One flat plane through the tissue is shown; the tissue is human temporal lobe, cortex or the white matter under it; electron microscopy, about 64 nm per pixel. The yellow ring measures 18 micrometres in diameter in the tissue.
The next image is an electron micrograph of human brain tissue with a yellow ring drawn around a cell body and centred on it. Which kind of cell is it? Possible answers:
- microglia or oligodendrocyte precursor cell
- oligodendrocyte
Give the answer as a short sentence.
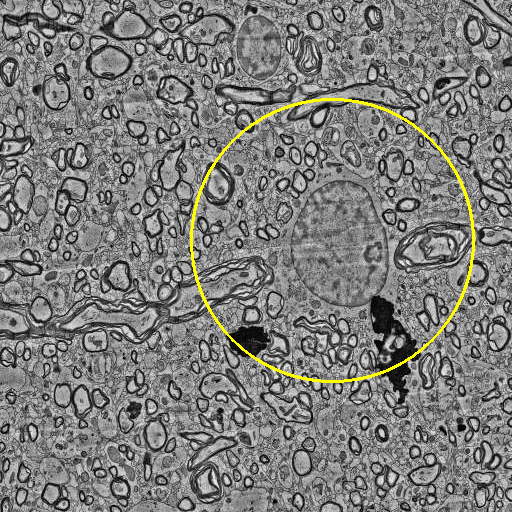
In the ring's centre is an oligodendrocyte.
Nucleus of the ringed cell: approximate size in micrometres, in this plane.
Roughly 8 by 6 micrometres in this plane, for the nucleus of the ringed cell.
